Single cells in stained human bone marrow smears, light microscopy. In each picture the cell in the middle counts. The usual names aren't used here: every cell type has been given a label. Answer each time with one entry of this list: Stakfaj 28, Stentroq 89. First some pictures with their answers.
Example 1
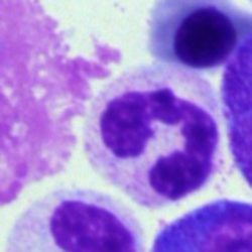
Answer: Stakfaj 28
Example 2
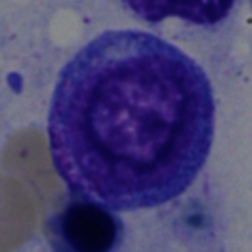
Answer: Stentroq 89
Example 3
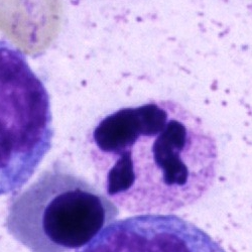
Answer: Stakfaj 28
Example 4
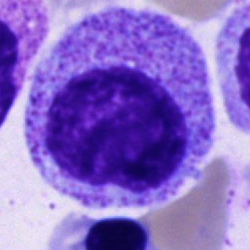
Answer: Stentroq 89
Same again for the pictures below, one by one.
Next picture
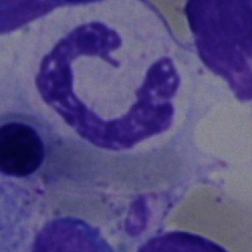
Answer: Stakfaj 28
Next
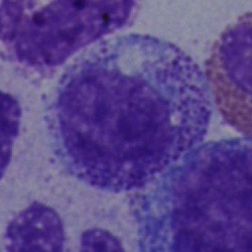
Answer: Stentroq 89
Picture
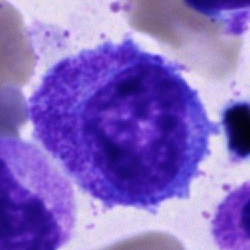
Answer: Stentroq 89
